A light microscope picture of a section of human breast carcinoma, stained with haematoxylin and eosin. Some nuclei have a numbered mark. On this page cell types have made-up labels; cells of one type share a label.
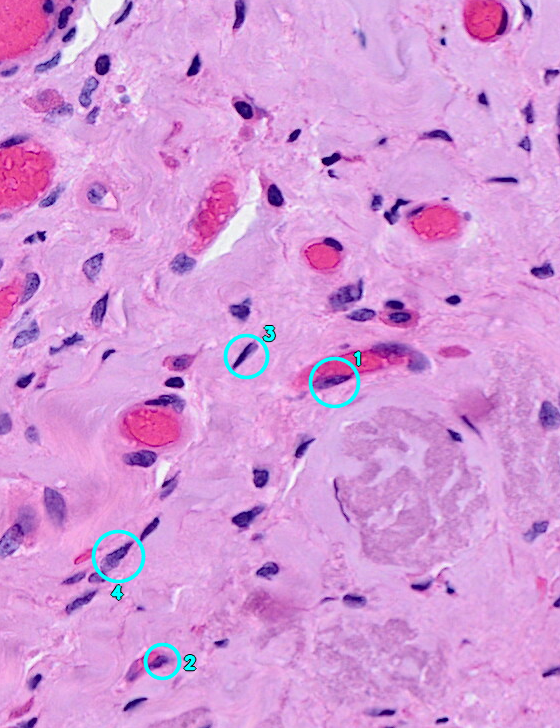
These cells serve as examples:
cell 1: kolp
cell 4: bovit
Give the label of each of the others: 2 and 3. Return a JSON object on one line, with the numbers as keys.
{"2": "kolp", "3": "bovit"}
